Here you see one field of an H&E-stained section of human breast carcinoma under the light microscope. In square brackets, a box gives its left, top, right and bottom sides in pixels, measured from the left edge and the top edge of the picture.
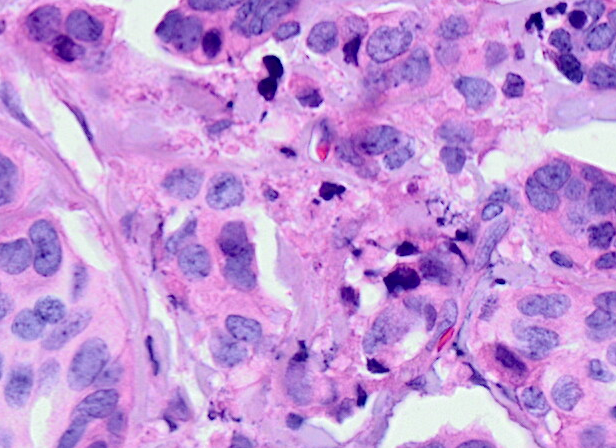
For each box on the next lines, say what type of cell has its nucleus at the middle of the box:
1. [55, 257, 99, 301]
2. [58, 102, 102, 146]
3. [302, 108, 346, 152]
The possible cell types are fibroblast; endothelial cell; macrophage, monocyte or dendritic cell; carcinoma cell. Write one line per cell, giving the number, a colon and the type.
1: carcinoma cell
2: fibroblast
3: endothelial cell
